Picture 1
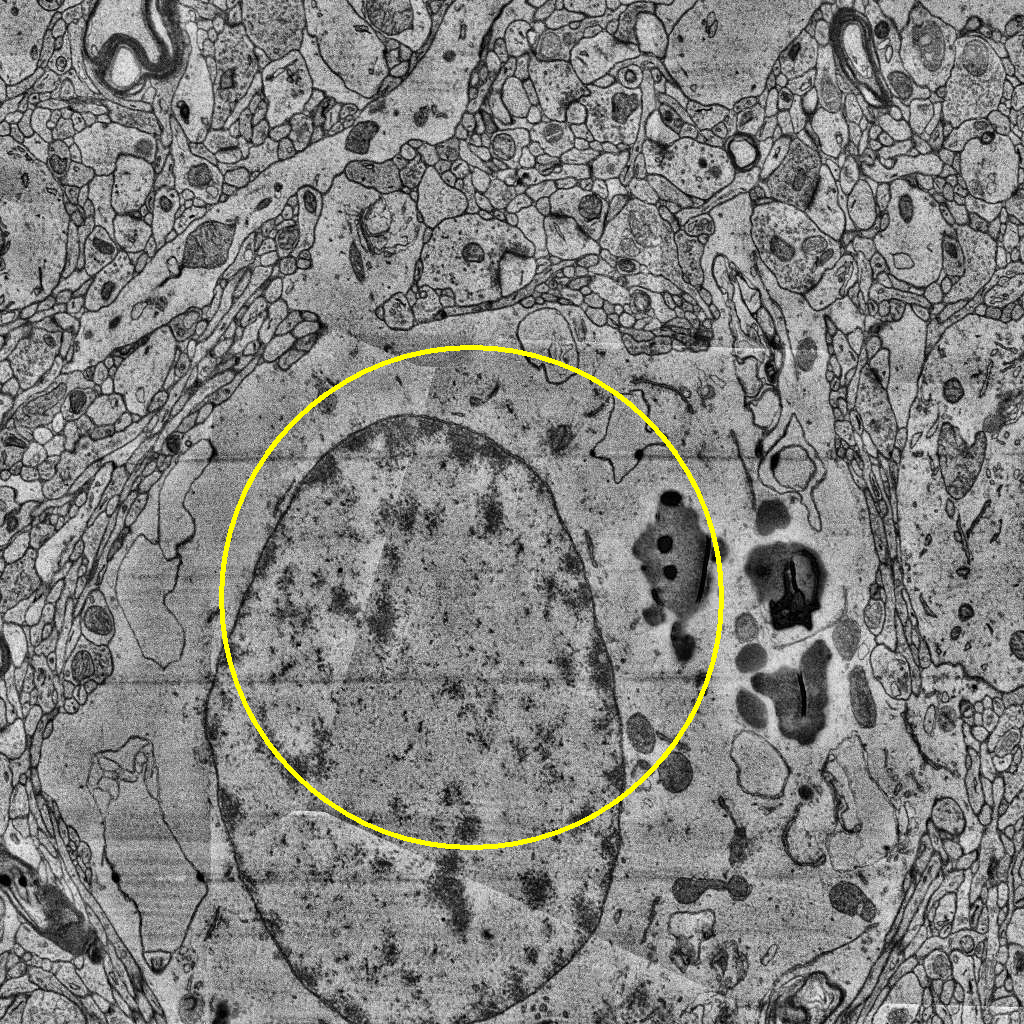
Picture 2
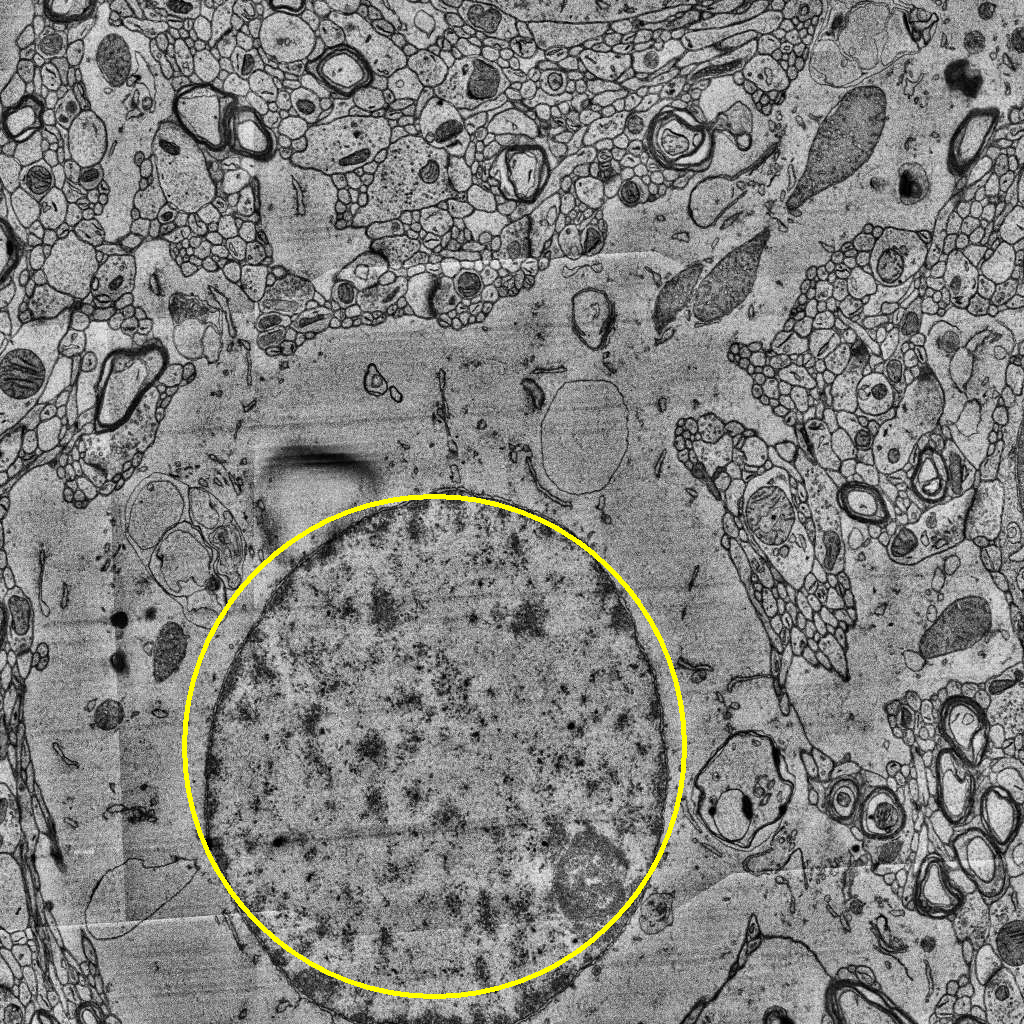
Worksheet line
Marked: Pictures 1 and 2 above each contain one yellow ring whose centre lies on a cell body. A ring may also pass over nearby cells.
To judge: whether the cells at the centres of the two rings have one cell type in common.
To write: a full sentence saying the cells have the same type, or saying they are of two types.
The cells at the centres of the rings in Picture 1 and Picture 2 have the same type.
